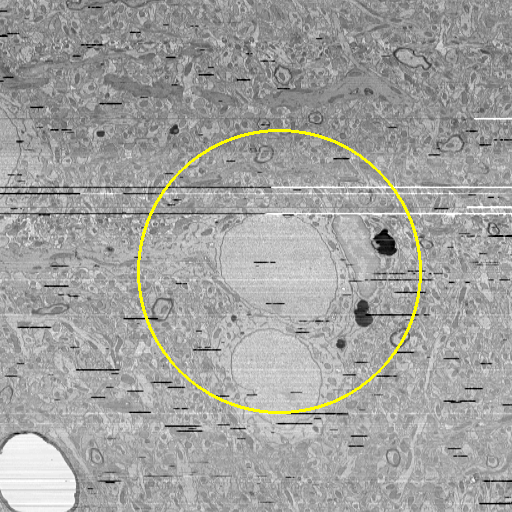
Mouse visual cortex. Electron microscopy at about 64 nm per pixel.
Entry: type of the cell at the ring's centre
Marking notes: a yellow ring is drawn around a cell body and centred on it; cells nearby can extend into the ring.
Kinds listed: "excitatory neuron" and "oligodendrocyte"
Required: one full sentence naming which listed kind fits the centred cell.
My entry names an excitatory neuron as the cell whose body the yellow ring centres on.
